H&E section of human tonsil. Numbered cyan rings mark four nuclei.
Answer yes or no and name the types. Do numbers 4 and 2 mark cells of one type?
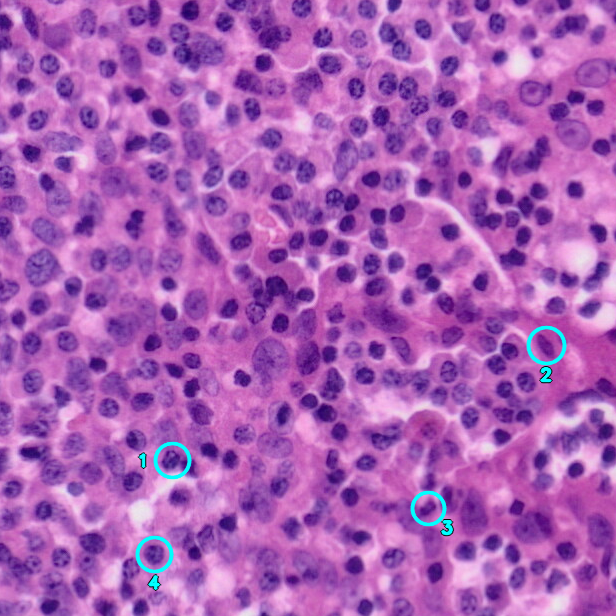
No, cell 4 is a plasma cell and cell 2 is a squamous epithelial cell.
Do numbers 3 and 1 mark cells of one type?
No, cell 3 is a squamous epithelial cell and cell 1 is a plasma cell.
